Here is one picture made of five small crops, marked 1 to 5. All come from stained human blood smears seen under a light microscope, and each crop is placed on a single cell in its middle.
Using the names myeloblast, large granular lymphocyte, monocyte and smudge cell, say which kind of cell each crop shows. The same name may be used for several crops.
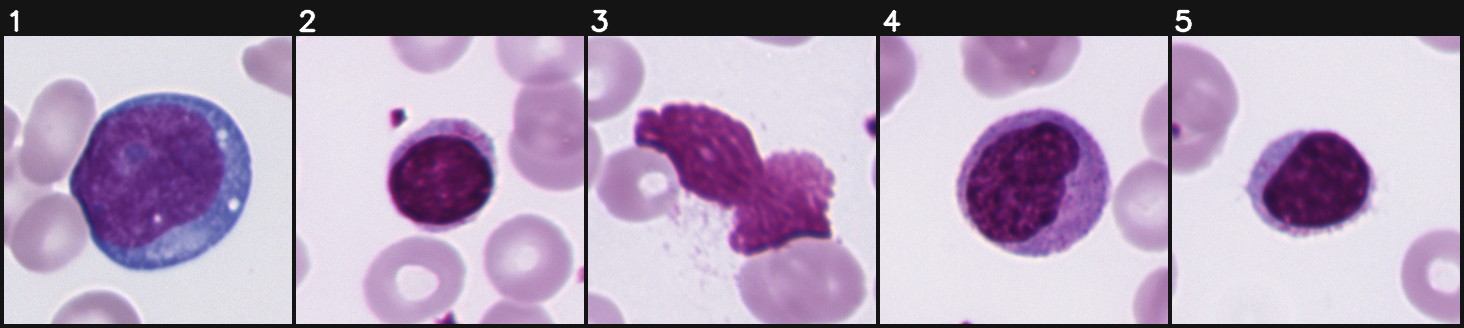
1: myeloblast
2: large granular lymphocyte
3: smudge cell
4: monocyte
5: large granular lymphocyte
